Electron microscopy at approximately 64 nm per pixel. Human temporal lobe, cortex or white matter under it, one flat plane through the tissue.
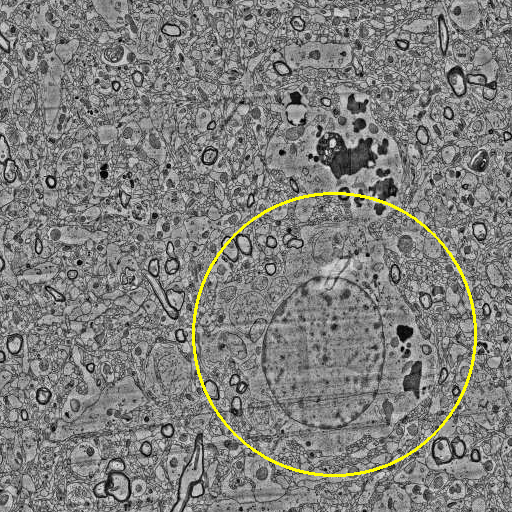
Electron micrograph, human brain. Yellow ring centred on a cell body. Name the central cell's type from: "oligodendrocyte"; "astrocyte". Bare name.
astrocyte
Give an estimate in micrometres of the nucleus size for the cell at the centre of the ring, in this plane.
The ringed cell's nucleus is about 10 micrometres long and 8 micrometres wide in this plane.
